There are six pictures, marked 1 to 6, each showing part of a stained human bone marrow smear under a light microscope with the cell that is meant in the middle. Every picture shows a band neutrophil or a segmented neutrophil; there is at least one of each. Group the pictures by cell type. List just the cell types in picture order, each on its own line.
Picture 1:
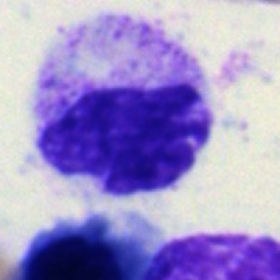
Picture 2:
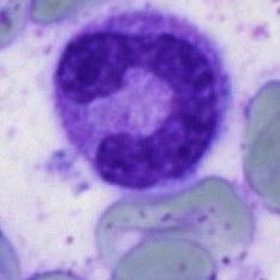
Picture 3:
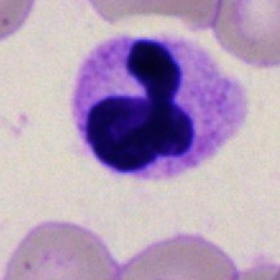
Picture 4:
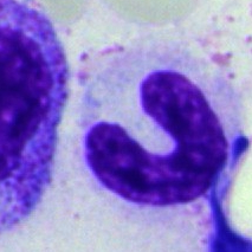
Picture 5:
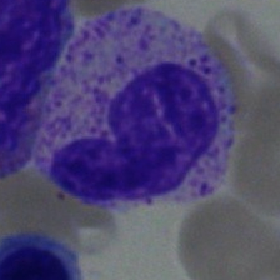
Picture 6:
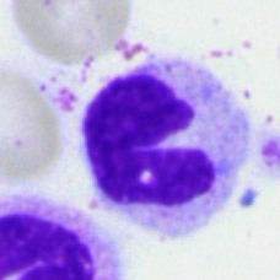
segmented neutrophil
band neutrophil
segmented neutrophil
band neutrophil
band neutrophil
band neutrophil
